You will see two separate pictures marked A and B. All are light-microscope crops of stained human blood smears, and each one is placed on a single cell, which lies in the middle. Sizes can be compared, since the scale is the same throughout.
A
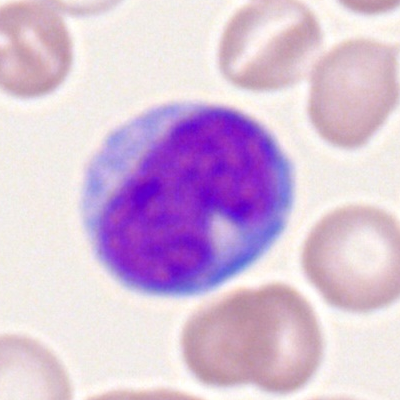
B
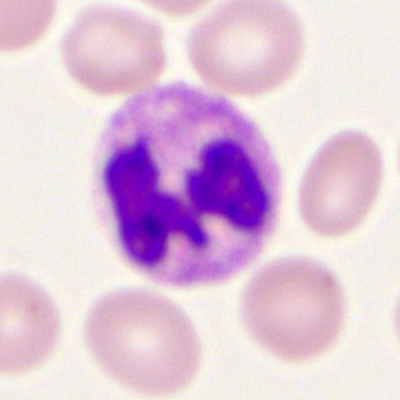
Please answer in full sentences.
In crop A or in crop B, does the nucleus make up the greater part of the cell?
It is the cell in crop A that is filled more by its nucleus.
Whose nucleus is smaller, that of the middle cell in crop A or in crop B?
It is the nucleus in crop B; the one in crop A has about 2 times its area.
